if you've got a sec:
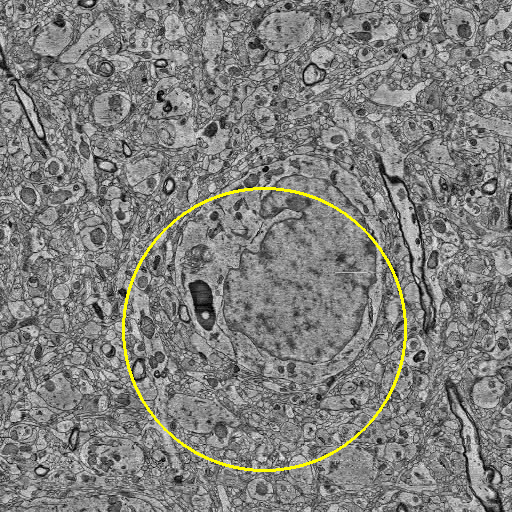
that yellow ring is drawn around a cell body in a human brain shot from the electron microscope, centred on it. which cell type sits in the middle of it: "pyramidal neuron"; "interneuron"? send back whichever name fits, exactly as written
interneuron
